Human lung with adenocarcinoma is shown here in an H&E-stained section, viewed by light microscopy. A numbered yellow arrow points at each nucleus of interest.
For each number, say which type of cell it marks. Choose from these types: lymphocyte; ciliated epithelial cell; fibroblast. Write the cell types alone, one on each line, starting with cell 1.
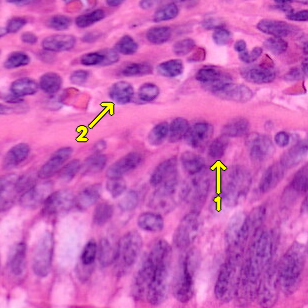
ciliated epithelial cell
lymphocyte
